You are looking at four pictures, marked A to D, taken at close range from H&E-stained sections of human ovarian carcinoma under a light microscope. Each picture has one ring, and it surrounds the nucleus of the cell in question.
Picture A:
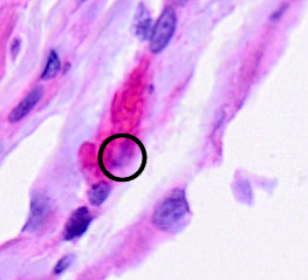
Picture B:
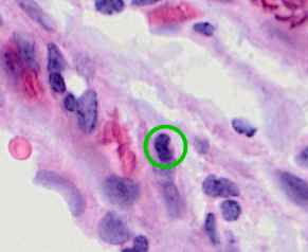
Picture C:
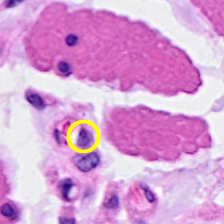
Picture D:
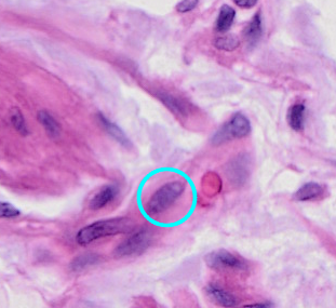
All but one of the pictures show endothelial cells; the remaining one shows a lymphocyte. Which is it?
B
